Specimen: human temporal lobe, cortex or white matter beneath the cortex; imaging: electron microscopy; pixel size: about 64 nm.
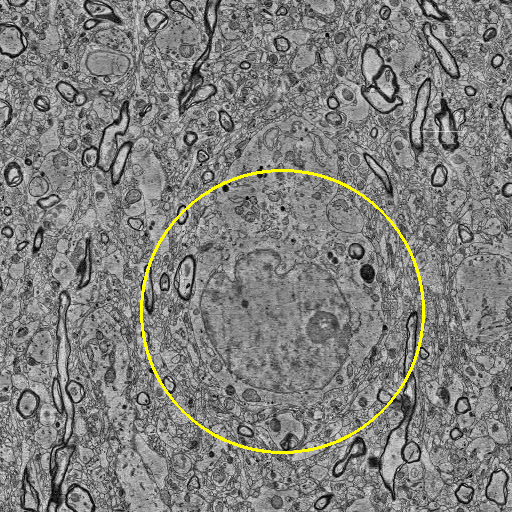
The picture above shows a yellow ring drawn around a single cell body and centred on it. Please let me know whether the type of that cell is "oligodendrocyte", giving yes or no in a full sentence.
No, the cell at the centre of the ring above has a different type.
